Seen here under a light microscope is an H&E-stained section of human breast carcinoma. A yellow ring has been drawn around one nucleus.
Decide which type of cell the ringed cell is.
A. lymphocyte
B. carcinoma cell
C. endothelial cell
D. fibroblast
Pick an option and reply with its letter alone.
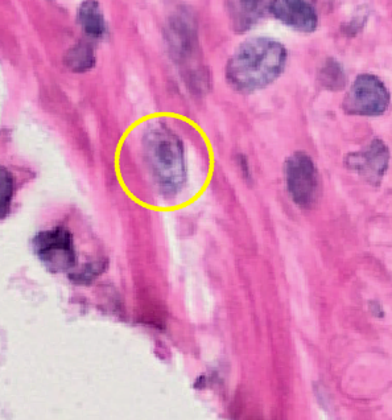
D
